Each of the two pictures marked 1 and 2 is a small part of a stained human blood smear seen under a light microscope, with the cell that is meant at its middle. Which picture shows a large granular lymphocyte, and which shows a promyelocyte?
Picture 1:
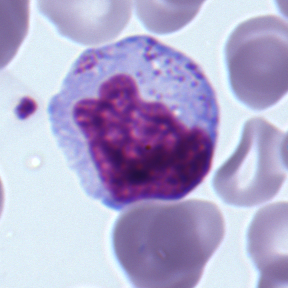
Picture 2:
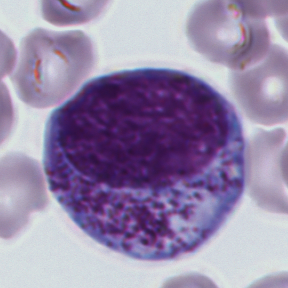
1: large granular lymphocyte
2: promyelocyte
